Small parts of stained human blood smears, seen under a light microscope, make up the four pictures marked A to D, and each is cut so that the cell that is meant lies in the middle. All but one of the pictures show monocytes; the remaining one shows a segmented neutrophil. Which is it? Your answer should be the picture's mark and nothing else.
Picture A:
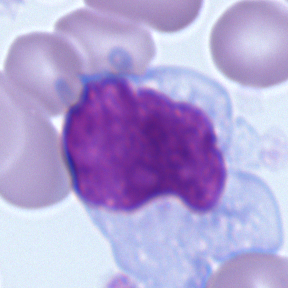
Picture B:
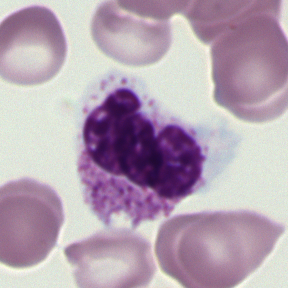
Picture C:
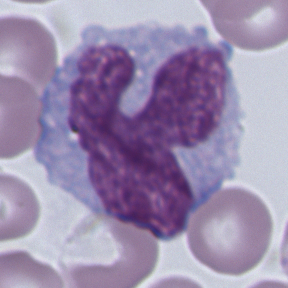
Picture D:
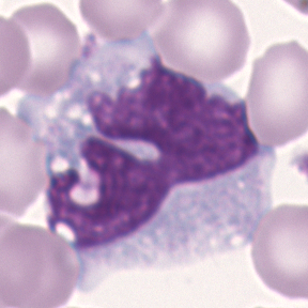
B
